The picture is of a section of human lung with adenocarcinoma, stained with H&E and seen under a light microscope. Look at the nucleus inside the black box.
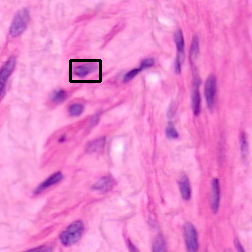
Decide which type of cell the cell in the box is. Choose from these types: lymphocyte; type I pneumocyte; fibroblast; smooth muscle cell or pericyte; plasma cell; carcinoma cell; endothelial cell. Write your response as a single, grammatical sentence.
The category to which the cell in the box belongs is that of a smooth muscle cell or pericyte.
